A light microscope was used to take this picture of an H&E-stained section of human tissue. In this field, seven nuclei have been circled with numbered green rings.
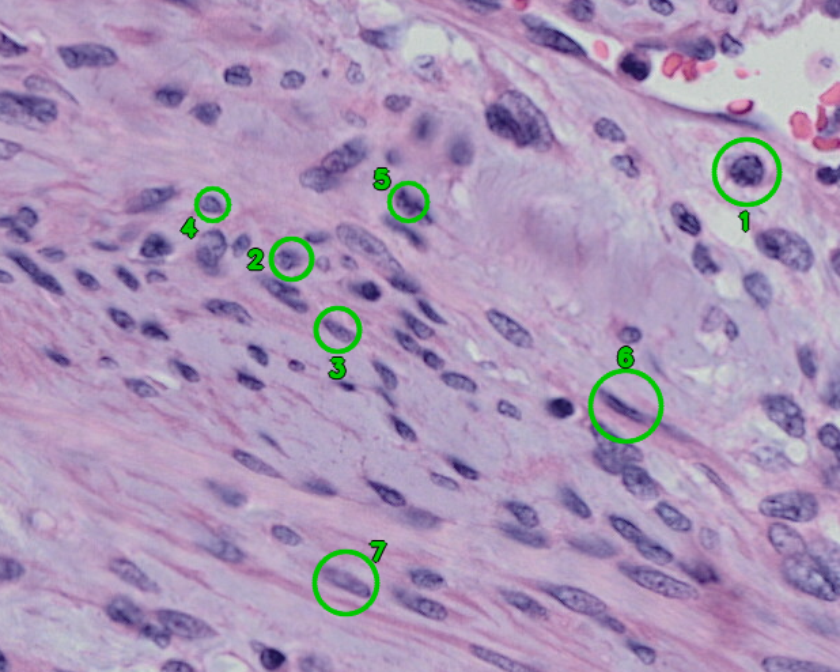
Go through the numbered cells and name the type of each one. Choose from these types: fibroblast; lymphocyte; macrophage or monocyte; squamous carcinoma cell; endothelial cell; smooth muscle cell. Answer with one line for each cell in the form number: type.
1: lymphocyte
2: smooth muscle cell
3: smooth muscle cell
4: smooth muscle cell
5: fibroblast
6: endothelial cell
7: smooth muscle cell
